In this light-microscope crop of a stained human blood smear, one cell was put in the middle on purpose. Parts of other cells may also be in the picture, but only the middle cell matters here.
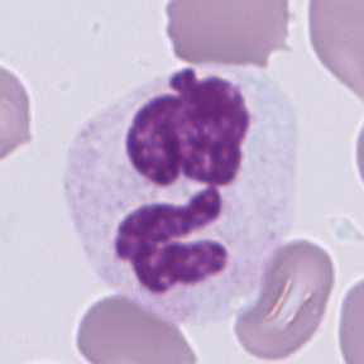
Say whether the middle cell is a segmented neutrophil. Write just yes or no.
yes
